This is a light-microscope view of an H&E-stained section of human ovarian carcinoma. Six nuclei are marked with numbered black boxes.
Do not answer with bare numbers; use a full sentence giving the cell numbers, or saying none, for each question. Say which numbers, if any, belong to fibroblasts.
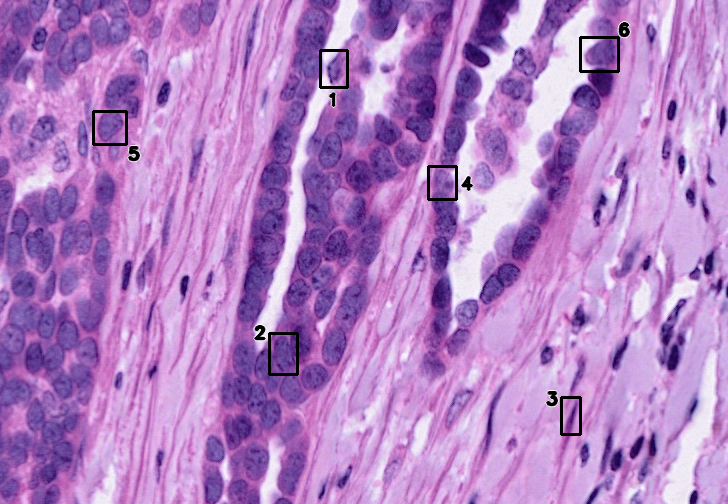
It is only cell 3 that is a fibroblast among the numbered cells.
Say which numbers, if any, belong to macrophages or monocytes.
No marked cell except number 1 is a macrophage or monocyte.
